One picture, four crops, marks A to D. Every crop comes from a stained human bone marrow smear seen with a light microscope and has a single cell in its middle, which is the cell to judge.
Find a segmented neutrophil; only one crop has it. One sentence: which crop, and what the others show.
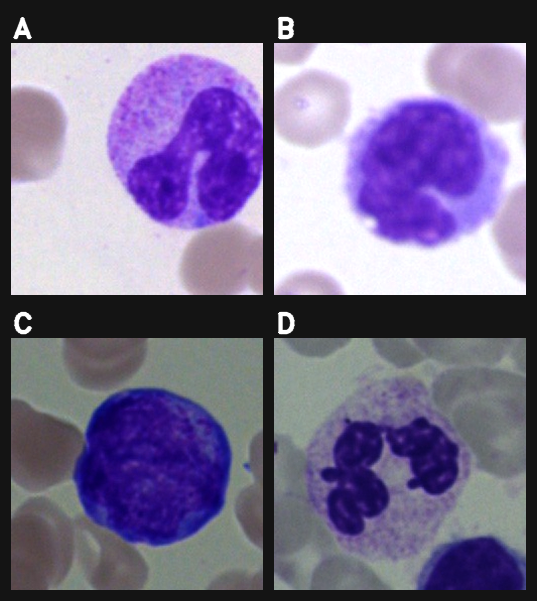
Crop D has a segmented neutrophil as its central cell, while crop A is a band neutrophil, crop B is a monocyte and crop C is a blast.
